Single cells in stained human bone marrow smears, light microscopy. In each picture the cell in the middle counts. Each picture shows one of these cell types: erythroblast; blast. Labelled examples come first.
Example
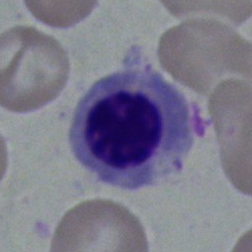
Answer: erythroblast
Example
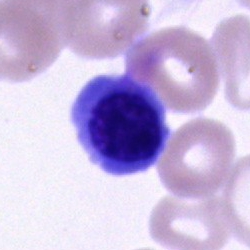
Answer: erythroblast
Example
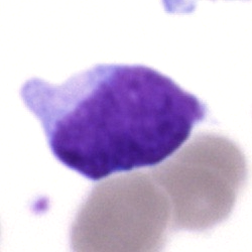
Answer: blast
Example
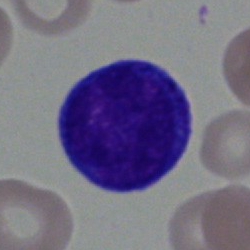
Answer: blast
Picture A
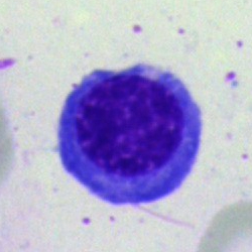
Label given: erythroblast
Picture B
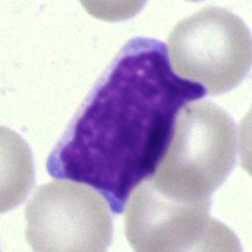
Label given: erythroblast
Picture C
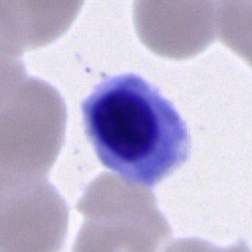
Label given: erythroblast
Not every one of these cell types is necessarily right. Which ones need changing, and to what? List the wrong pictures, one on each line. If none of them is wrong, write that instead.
B should be blast, not erythroblast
